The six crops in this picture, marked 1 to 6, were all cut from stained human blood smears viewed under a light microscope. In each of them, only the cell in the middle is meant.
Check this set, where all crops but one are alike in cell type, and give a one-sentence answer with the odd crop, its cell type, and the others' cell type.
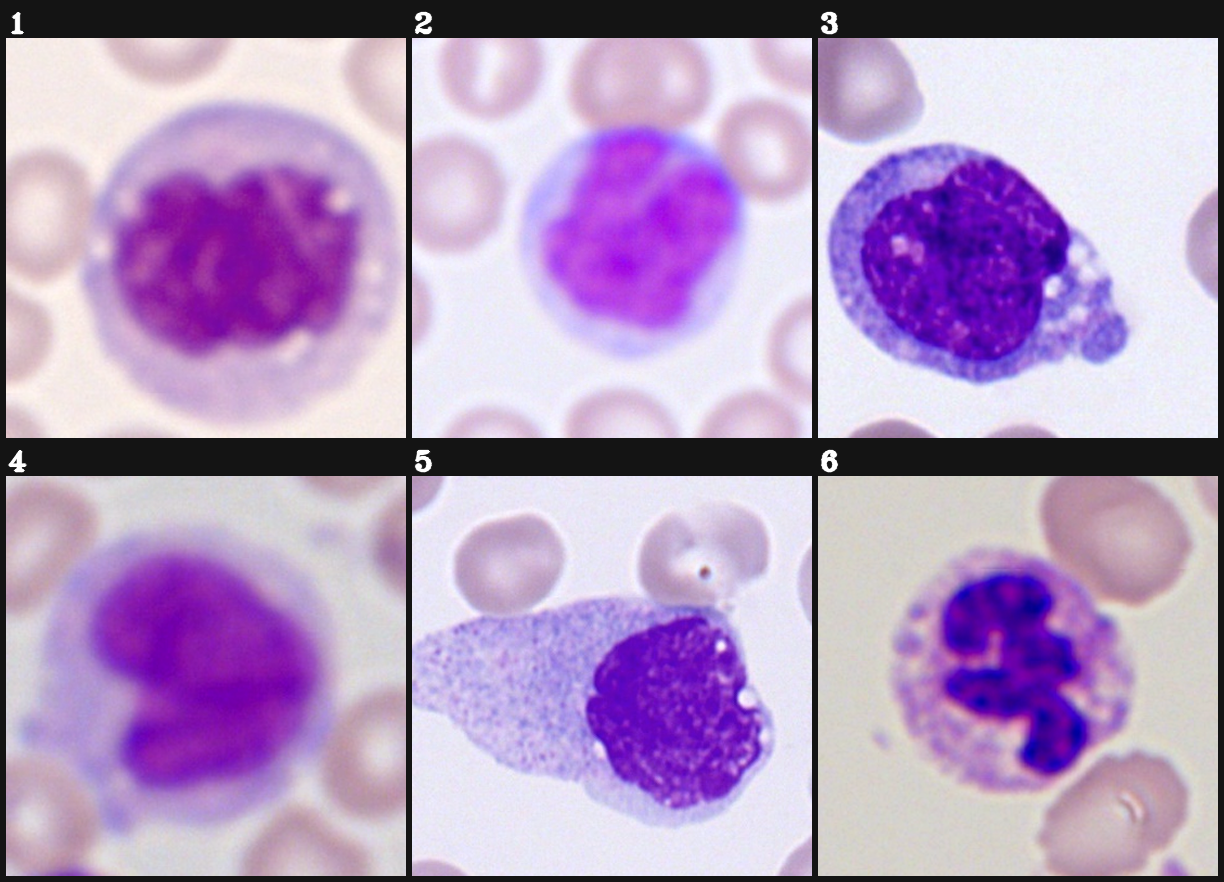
Crop 6 alone shows a segmented neutrophil; the other crops are all monocytes.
